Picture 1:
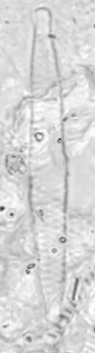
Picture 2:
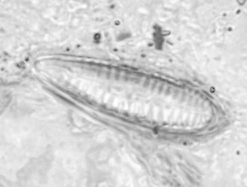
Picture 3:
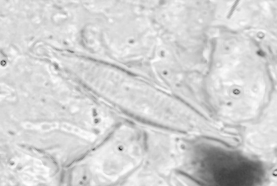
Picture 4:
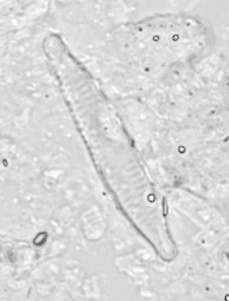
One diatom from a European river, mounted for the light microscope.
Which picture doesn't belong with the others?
Picture 2.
